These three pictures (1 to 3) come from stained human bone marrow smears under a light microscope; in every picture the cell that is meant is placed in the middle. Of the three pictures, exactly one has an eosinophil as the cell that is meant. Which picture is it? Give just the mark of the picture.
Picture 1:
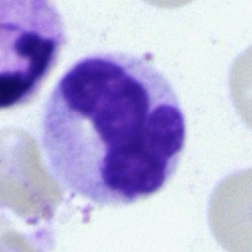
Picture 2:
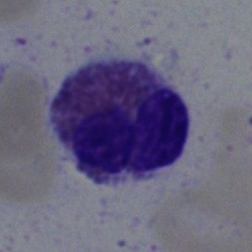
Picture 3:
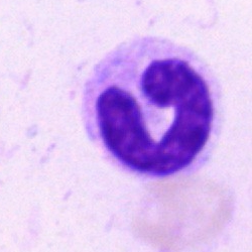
2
